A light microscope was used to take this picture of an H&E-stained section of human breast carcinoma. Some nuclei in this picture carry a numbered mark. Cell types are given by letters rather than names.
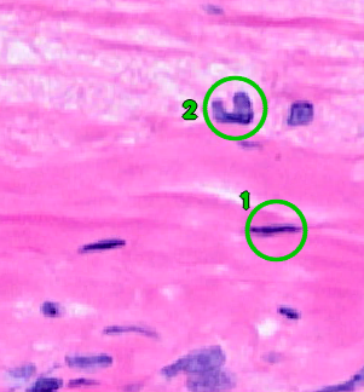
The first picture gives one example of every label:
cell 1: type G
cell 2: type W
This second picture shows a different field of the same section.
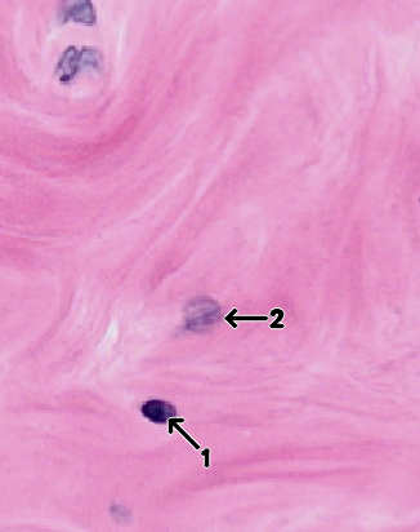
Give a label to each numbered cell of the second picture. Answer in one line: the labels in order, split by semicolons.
type W; type G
